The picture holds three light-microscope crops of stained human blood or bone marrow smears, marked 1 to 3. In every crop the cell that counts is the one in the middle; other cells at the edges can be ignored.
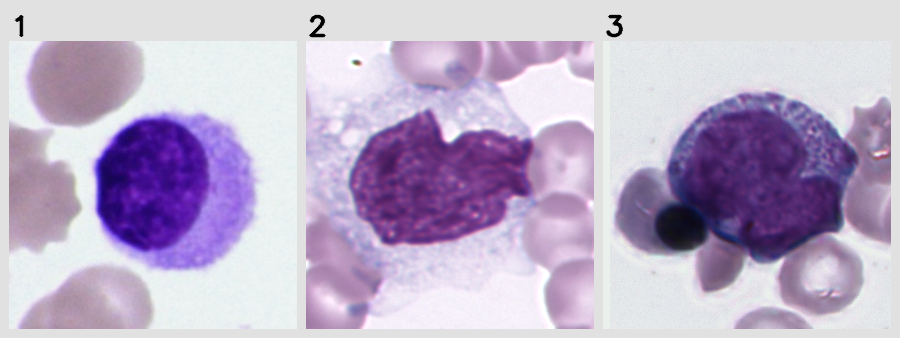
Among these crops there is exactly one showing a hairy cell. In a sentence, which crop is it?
Crop 1 is the one in the set with a hairy cell at the center.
